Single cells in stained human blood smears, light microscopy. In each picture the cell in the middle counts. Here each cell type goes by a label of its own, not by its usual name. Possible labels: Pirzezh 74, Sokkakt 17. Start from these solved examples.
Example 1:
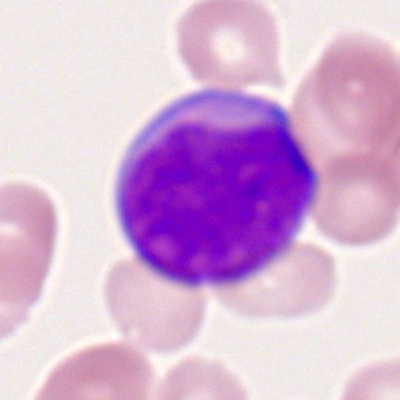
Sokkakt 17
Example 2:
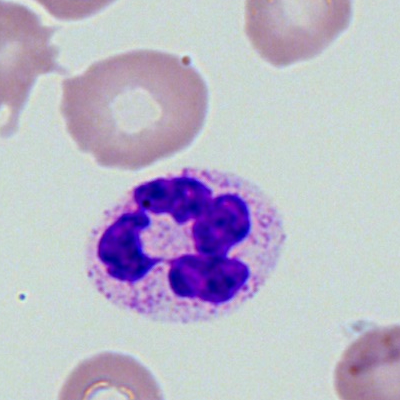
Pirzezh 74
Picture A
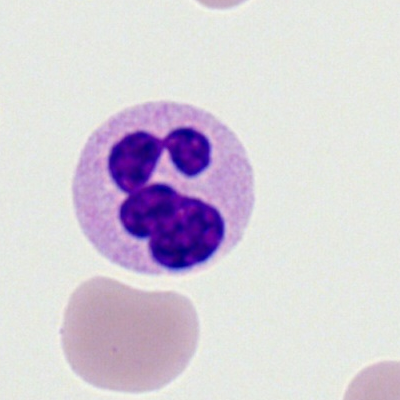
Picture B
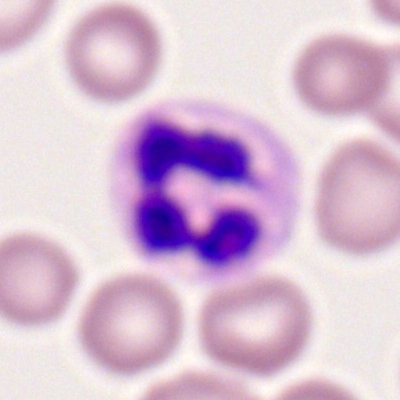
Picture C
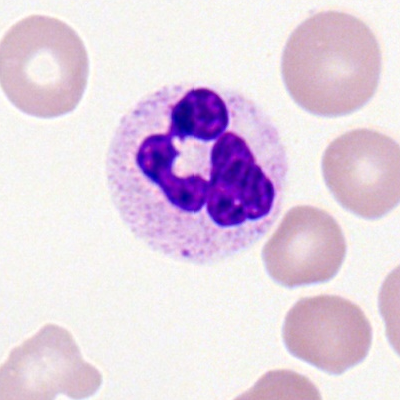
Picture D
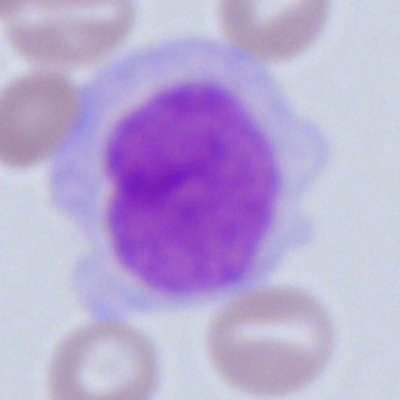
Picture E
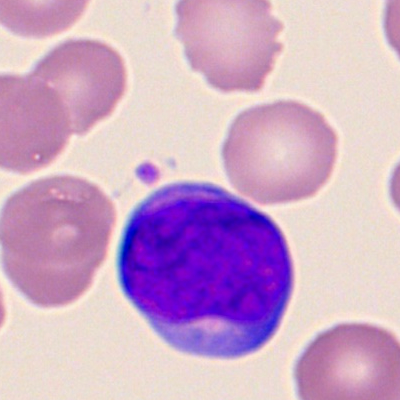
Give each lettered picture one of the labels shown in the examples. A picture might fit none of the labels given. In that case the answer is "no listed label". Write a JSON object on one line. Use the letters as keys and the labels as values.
{"A": "Pirzezh 74", "B": "Pirzezh 74", "C": "Pirzezh 74", "D": "no listed label", "E": "Sokkakt 17"}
